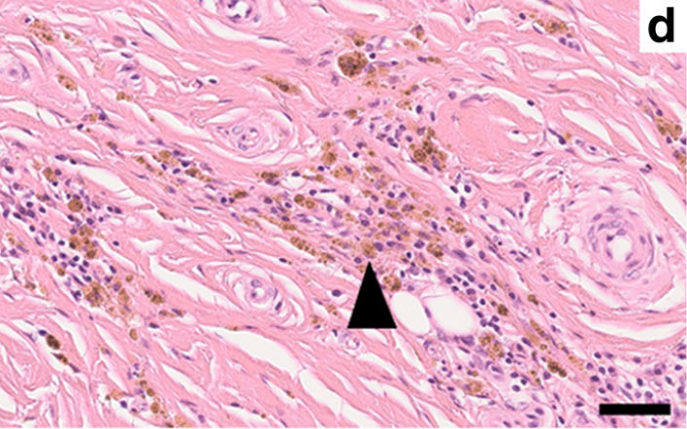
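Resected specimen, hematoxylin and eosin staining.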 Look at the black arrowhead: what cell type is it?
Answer: Histiocytes containing hemosiderin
